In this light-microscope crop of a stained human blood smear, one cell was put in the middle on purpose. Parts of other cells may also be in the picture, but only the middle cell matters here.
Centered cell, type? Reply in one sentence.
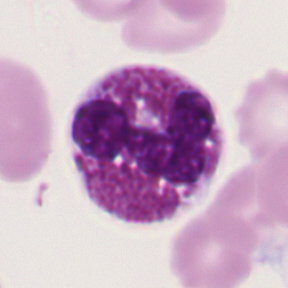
Answering briefly, the cell in the middle is an eosinophil.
